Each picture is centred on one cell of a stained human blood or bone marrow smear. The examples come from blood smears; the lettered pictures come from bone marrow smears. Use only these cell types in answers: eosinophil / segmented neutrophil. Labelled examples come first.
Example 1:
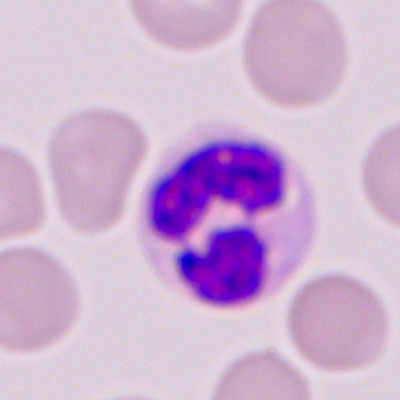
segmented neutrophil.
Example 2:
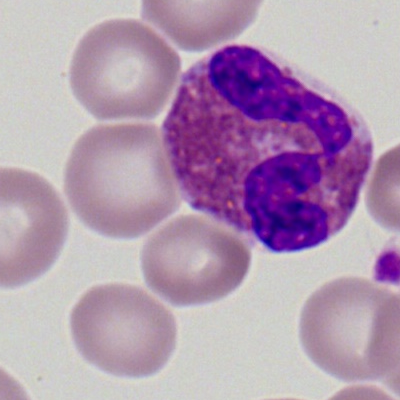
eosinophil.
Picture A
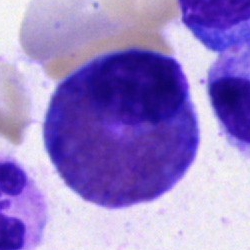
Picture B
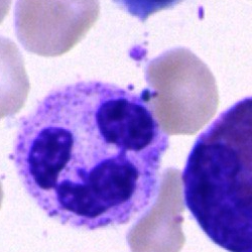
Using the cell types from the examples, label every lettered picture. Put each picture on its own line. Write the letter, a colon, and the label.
A: eosinophil.
B: segmented neutrophil.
